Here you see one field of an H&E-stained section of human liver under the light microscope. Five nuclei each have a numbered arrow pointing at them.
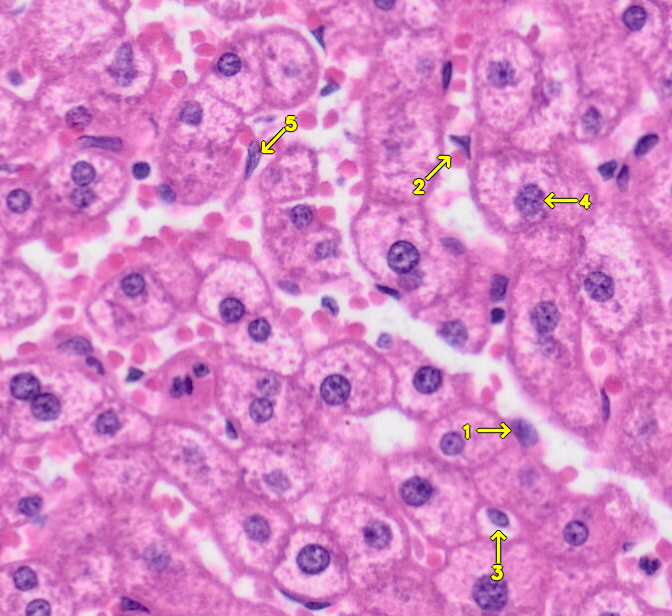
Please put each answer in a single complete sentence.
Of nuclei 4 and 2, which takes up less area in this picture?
Number 2 is smaller, since number 4 takes up about 2 times as much area.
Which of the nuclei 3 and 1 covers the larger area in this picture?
Number 1 is larger; its area is about 2 times that of number 3.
